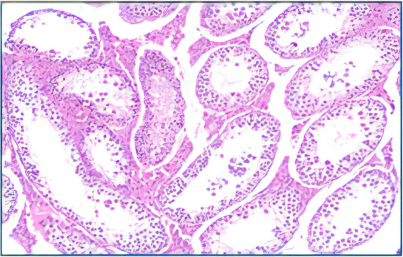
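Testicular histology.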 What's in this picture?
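Round, oval and elongated tubule cross-sections are separated by bands of pink interstitial tissue containing scattered cells. The tubule walls carry a layered lining of dark purple nuclei, thinner in some tubules than others.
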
